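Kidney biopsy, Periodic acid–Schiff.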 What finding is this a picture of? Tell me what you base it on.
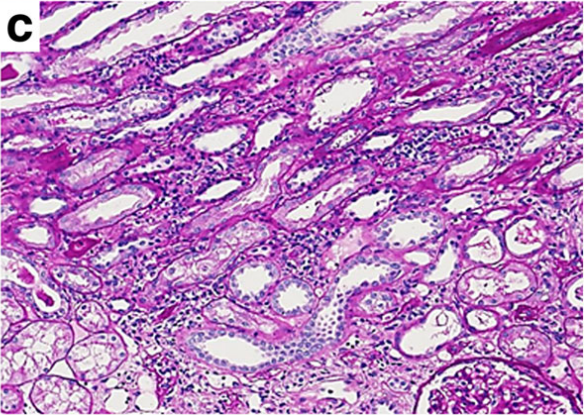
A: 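Lymphocyte infiltration. Many small, round, dark nuclei crowd the spaces between the tubules. The tubules are pushed apart by this cellular infiltrate.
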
